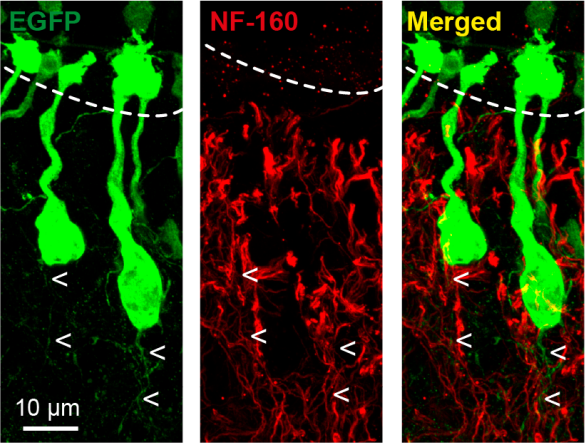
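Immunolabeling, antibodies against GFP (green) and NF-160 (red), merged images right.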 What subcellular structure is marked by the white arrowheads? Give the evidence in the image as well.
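Thin axon-like fibers. The arrowheads mark thin green fibers below the cell bodies, on the side away from the dashed line. These fibers are far thinner than the thick processes reaching up toward the dashed line.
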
